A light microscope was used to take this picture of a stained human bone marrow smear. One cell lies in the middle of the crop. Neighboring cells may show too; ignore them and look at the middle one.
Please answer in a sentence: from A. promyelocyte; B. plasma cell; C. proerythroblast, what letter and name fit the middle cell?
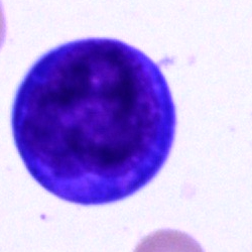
The cell right in the middle is a proerythroblast, so option C is the one.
